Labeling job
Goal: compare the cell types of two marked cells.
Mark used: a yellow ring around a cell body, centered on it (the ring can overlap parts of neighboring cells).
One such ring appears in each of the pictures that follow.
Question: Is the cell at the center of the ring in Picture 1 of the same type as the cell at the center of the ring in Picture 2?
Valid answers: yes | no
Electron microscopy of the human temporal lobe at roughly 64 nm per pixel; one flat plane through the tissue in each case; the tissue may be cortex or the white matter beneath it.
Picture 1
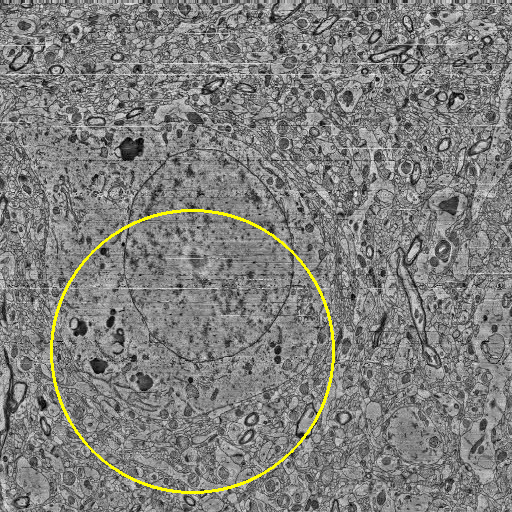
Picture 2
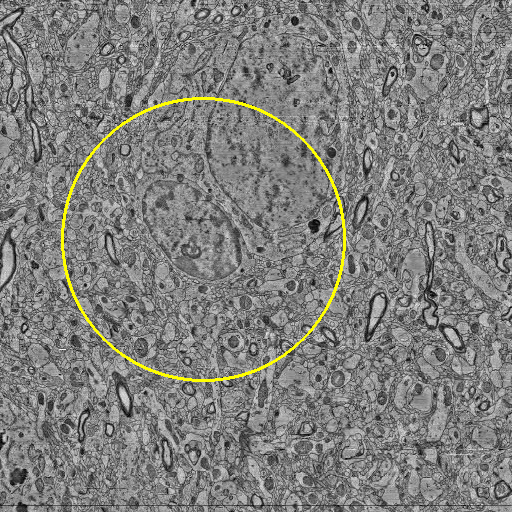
no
